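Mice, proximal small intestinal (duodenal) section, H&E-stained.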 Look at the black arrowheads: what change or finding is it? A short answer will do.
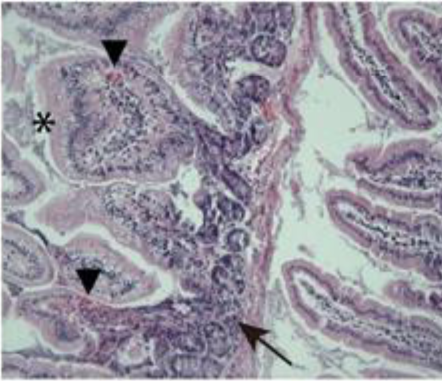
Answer: Haemorrhage.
